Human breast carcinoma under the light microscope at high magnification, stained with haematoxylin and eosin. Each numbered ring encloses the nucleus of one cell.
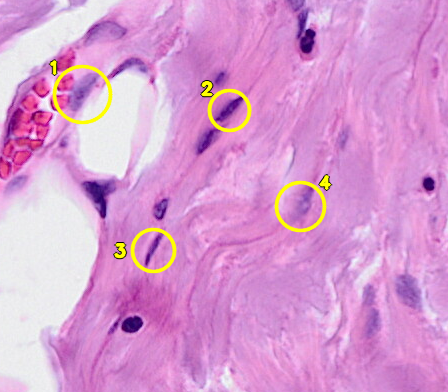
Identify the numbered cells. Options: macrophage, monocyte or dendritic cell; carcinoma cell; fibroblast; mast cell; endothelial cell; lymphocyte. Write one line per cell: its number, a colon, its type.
1: endothelial cell
2: fibroblast
3: fibroblast
4: fibroblast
